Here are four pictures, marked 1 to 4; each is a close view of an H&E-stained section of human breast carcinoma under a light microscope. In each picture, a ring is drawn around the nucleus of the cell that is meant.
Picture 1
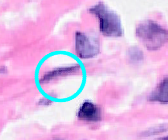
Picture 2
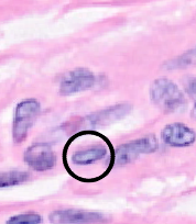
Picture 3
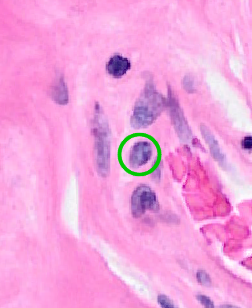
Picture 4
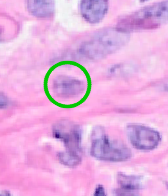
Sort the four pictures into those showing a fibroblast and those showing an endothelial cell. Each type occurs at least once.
1: fibroblast
2: endothelial cell
3: endothelial cell
4: endothelial cell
